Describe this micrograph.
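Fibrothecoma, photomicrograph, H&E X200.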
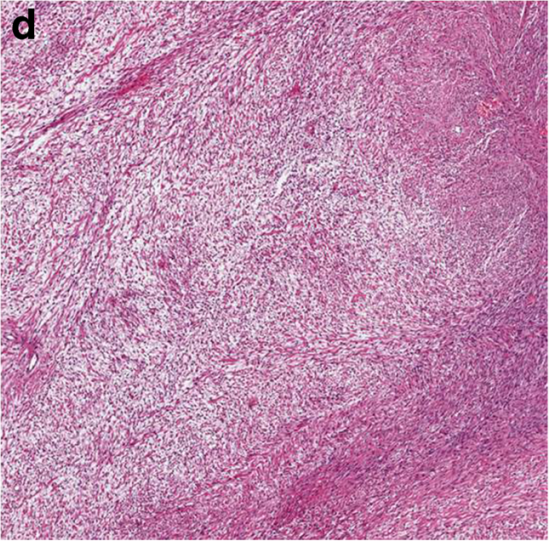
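This is a tumour built of spindle cells, stained pink and purple. The cells lie side by side in bundles, or fascicles. These bundles sweep across the field and cross one another in different directions. Some zones are packed tightly and look darker, with crowded nuclei. Others are looser and paler. A few small vessels and pinker streaks of stroma run between the bundles.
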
